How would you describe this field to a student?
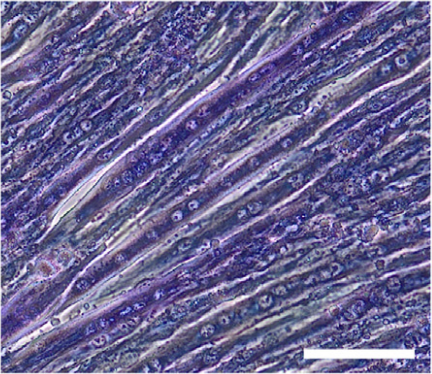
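This densely packed culture shows long, narrow myotubes aligned in parallel along a diagonal. The purple-stained myotubes are thin and closely laid side by side. Their oval nuclei, each with a small dark nucleolus, are distributed singly along the length of the cells. No crowded groups of nuclei stand out.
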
